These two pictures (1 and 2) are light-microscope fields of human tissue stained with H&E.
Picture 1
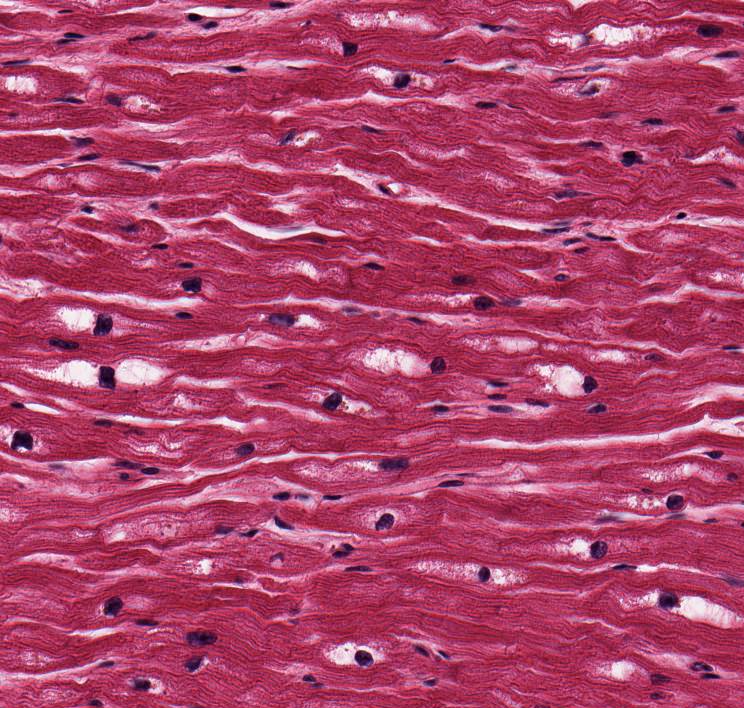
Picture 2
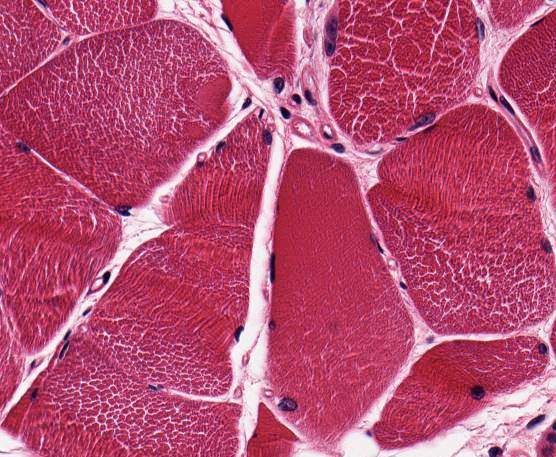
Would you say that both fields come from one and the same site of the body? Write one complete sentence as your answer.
No, picture 1 comes from the atrial appendage of the heart and picture 2 comes from skeletal muscle.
